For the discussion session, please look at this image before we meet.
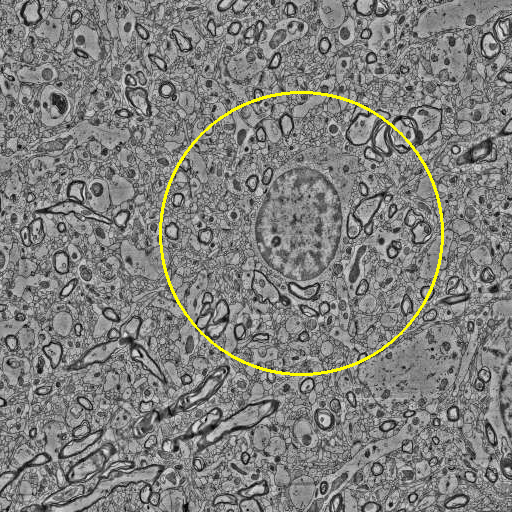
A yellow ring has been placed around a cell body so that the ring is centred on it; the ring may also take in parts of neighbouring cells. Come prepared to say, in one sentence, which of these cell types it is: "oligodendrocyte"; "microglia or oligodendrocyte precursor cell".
The cell centred in the ring is an oligodendrocyte.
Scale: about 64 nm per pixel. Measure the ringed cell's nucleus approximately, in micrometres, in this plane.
In this plane, about 7 micrometres in length and 5 in width.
